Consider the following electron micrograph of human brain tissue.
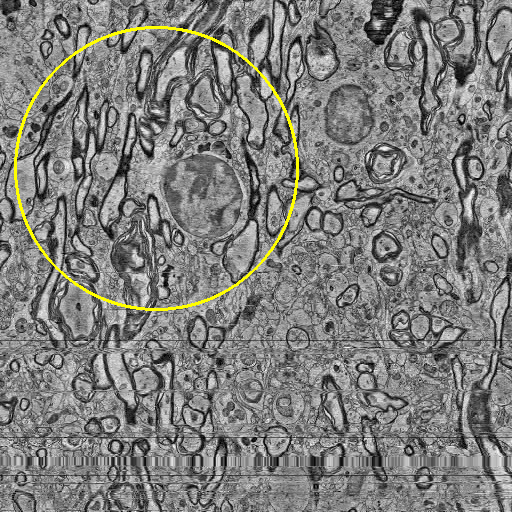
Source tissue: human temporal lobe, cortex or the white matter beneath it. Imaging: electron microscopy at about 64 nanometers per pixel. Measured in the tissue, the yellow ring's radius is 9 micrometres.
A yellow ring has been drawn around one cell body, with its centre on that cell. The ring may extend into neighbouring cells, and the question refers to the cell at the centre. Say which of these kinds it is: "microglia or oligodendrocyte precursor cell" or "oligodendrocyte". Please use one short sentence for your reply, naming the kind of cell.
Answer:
The centre of the ring falls on a microglial cell or oligodendrocyte precursor cell.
